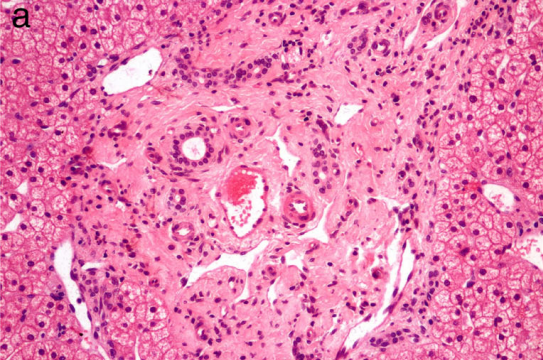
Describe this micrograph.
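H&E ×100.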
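This is a portal tract of the liver enlarged by pink fibrous tissue and surrounded by hepatocytes. In the centre lies a small bile duct lined by cuboidal cells with dark round nuclei, next to small thick-walled arteries and a vessel containing red blood cells. Numerous thin-walled, irregular and dilated vascular channels lie within and at the edge of the fibrous stroma. Scattered elongated and round nuclei are dispersed through the collagenous stroma. The surrounding hepatocytes are polygonal with pale, finely granular to clear cytoplasm and central round nuclei, arranged in plates.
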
